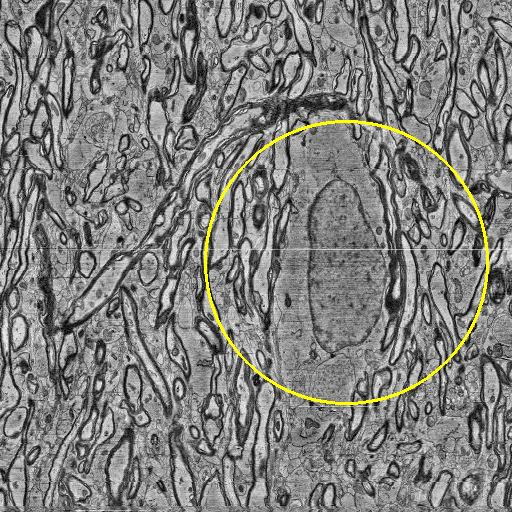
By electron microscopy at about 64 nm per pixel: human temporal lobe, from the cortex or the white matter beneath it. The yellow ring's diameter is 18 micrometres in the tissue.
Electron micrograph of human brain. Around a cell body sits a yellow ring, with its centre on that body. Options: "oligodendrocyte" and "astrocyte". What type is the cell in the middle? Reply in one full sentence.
The cell sitting at the centre of the yellow ring is an astrocyte.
